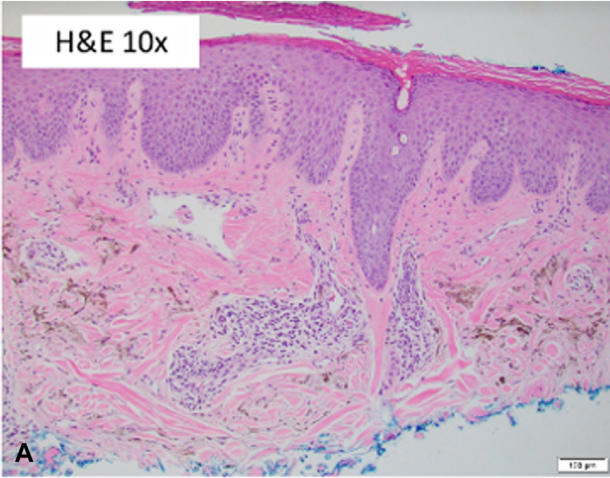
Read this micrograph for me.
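Skin with an intact epidermis bearing a compact pink keratin layer and rete ridges. In the superficial dermis, brown-pigmented cells are scattered among dense pink collagen bundles in two foci on either side. A cluster of small dark nuclei surrounds a downgrowth of the epidermis in the middle. The pigmented cells are spindle-shaped and do not form nests at the junction with the epidermis.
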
